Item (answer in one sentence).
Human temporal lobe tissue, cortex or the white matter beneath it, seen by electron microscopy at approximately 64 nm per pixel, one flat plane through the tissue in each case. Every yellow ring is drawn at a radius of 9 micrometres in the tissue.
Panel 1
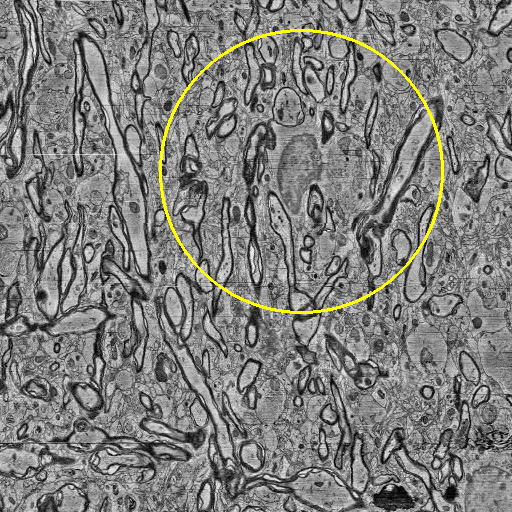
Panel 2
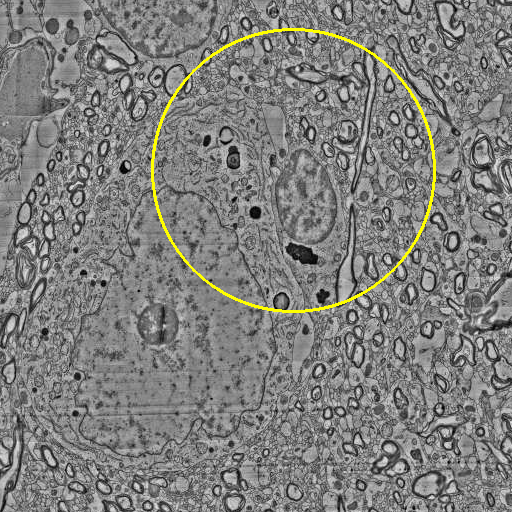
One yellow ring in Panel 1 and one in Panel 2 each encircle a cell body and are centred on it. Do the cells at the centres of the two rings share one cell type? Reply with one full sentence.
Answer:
Yes, Panel 1 and Panel 2 show cells of one type at the centres of their rings.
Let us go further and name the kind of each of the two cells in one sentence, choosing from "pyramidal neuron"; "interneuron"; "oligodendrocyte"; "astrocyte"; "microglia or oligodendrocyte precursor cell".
In each picture the ringed cell is an oligodendrocyte.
